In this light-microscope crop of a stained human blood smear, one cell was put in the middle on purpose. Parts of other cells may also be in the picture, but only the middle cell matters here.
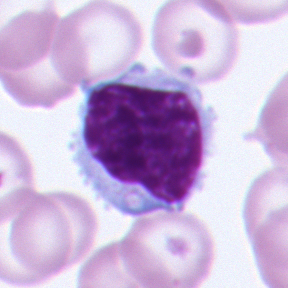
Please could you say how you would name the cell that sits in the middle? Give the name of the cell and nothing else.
lymphocyte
